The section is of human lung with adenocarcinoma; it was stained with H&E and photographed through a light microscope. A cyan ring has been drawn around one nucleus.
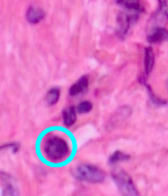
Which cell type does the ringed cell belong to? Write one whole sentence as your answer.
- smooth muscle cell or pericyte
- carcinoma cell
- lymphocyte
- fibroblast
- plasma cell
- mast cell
In short, the ringed cell on this section is a plasma cell.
